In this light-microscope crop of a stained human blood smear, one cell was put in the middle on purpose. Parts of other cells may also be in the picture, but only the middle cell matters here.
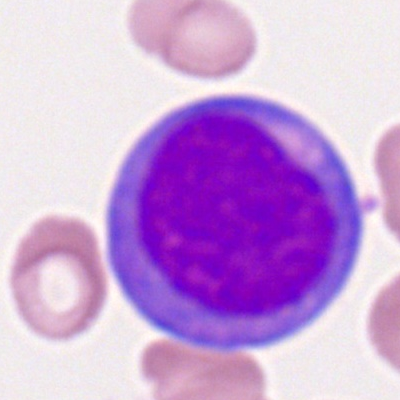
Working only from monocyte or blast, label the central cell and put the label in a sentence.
In the centre of this crop there is a blast.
